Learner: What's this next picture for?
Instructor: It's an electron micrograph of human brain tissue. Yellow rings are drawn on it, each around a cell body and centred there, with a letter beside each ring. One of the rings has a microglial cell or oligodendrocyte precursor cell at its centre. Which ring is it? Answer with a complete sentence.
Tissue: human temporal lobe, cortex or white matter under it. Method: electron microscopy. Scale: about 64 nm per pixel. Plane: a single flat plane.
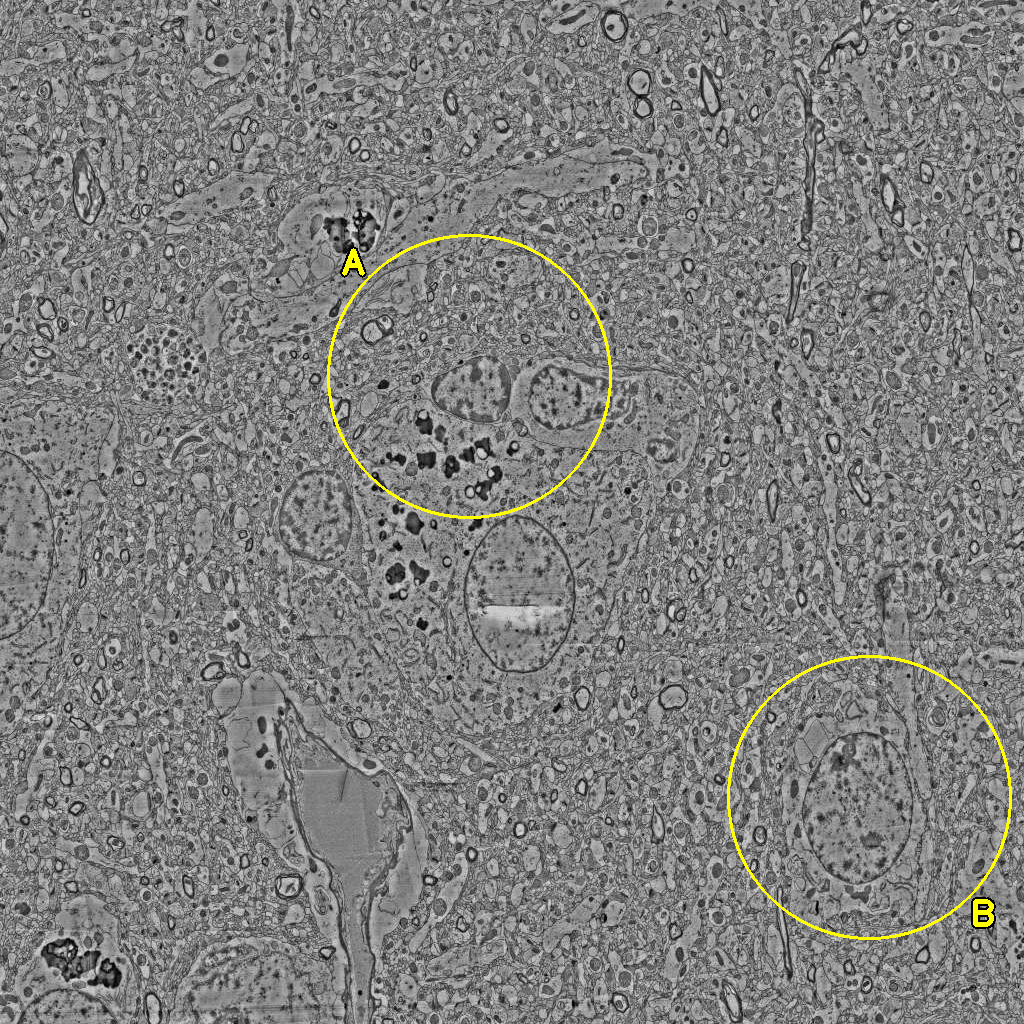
Ring A is centred on it.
